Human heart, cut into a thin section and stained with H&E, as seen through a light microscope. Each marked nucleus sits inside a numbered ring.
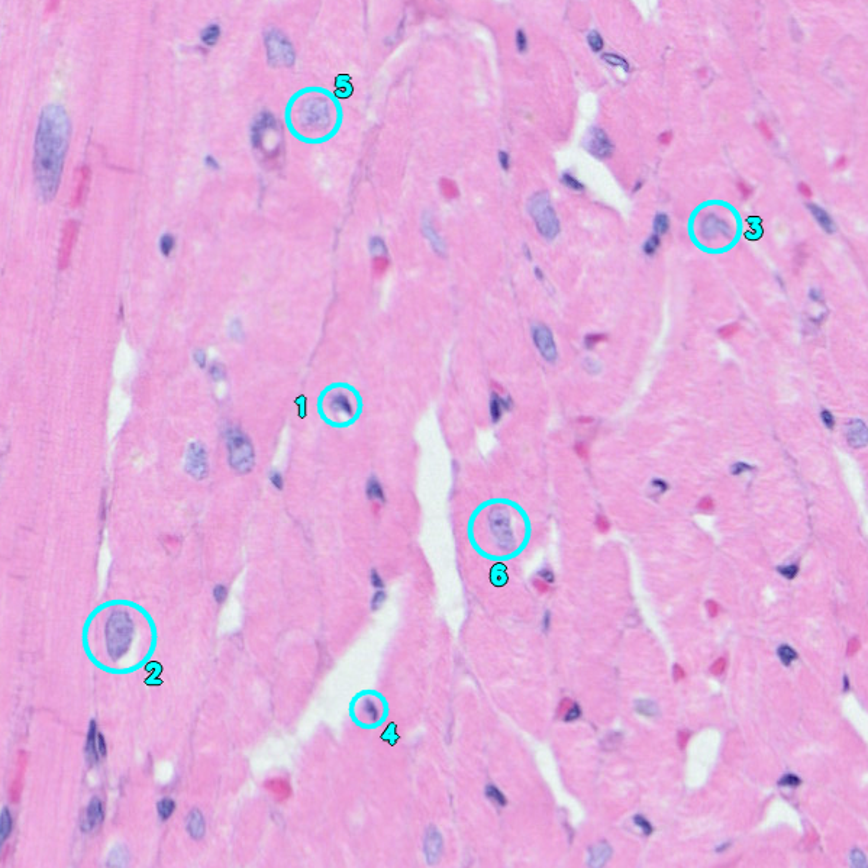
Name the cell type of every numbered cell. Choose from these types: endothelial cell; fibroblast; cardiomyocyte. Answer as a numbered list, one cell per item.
1. endothelial cell
2. cardiomyocyte
3. cardiomyocyte
4. endothelial cell
5. cardiomyocyte
6. cardiomyocyte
